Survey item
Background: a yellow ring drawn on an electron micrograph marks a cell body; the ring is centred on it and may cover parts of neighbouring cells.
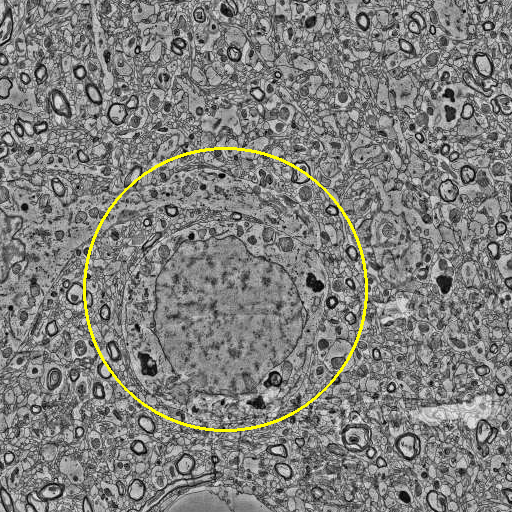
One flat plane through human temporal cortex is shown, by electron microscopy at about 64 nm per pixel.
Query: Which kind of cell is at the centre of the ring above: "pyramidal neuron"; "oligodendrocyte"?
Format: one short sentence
The cell in the middle of the ring is a pyramidal neuron.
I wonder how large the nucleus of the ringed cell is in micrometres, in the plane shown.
Approximately 10 micrometres across, in this plane.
